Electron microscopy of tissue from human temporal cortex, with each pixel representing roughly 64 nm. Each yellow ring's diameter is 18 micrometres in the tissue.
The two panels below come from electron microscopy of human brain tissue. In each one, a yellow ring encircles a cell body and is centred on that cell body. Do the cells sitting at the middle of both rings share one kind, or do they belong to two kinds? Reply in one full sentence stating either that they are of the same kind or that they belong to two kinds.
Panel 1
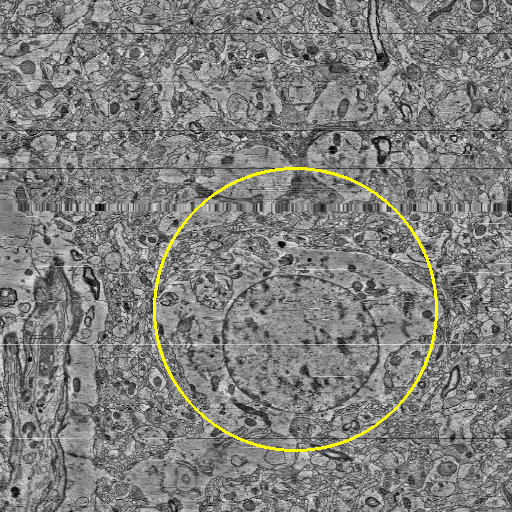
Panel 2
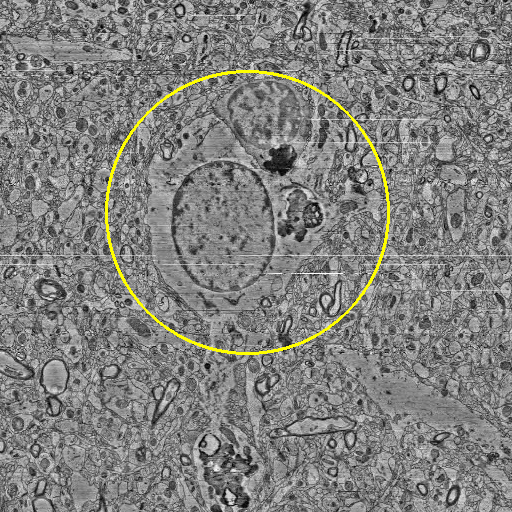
The cells at the centres of the two rings are of the same kind.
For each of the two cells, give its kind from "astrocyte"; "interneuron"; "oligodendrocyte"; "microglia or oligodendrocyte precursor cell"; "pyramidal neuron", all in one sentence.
Both rings mark an astrocyte, one in each picture.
